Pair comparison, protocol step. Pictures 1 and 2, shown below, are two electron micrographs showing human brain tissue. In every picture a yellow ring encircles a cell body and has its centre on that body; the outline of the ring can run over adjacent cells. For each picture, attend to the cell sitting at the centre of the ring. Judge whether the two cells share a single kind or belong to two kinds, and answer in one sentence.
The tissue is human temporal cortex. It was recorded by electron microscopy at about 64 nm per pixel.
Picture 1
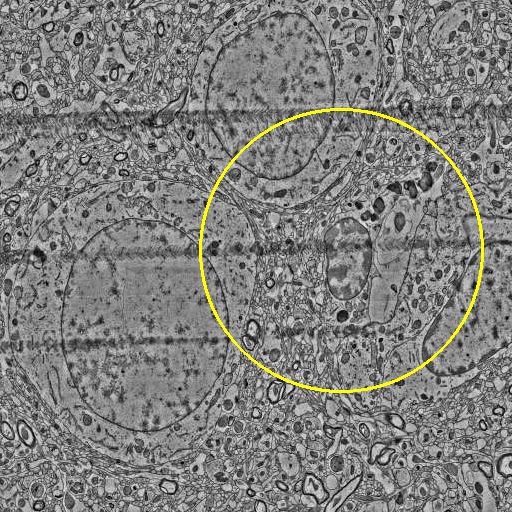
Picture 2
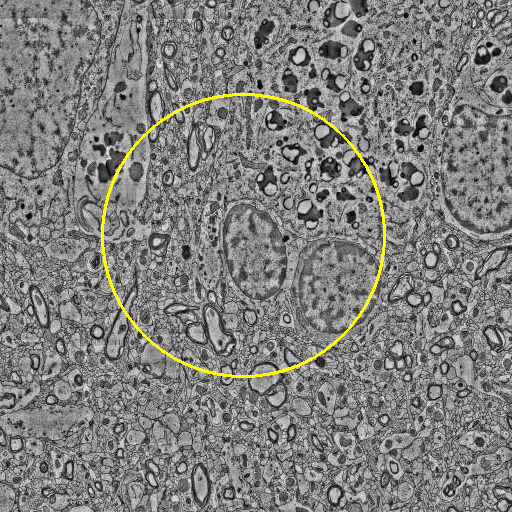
The two cells at the ring centres in Picture 1 and Picture 2 share a single kind.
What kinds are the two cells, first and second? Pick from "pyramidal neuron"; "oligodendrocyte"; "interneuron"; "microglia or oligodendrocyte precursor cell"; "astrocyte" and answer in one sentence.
Each of the ringed cells, first and second, is a microglial cell or oligodendrocyte precursor cell.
